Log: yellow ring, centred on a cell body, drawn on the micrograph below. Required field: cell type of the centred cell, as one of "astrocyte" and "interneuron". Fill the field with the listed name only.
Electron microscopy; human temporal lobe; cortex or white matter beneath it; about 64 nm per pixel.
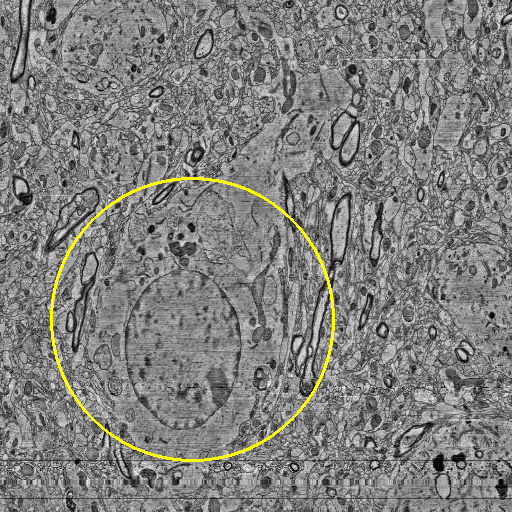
astrocyte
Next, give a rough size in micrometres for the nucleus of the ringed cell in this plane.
Roughly 11 micrometres by 7 micrometres, in this plane.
